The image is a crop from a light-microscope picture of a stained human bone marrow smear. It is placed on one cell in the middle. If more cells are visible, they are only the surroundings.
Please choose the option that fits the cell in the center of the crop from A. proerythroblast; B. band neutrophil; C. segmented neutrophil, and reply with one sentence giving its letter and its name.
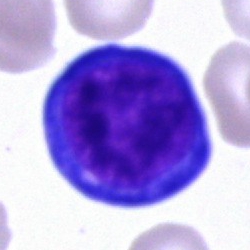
It is a proerythroblast that occupies the centre of the crop, so option A is correct.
